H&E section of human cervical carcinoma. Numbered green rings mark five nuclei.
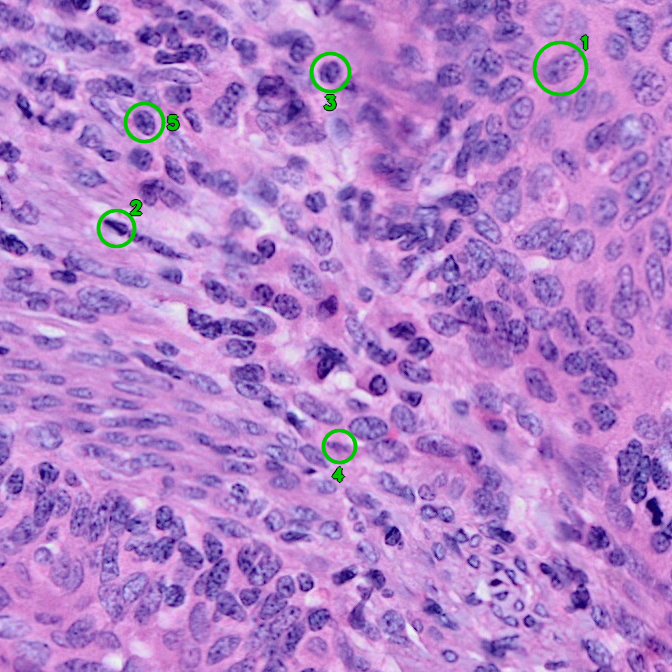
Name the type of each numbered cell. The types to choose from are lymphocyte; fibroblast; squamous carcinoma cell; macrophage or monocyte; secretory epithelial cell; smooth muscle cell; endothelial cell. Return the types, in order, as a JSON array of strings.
["squamous carcinoma cell", "lymphocyte", "lymphocyte", "endothelial cell", "lymphocyte"]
